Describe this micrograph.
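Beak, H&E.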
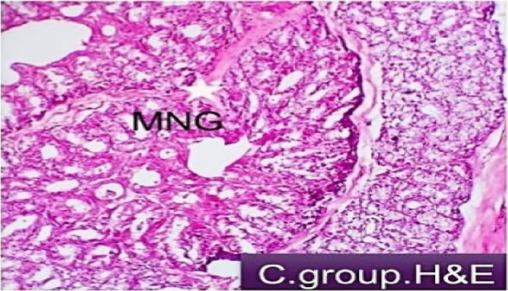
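Glandular tissue fills the field, made of many closely packed tubular and acinar units cut in various planes. Each unit is lined by pale pink cells with small nuclei around a narrow or open lumen, and the units are grouped into lobules separated by thin pink connective tissue strands.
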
